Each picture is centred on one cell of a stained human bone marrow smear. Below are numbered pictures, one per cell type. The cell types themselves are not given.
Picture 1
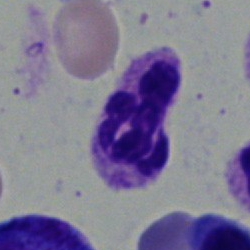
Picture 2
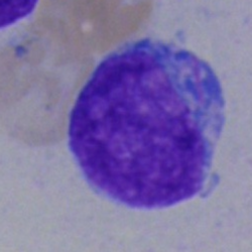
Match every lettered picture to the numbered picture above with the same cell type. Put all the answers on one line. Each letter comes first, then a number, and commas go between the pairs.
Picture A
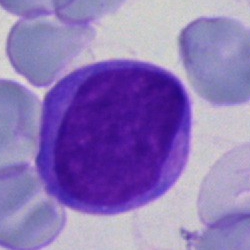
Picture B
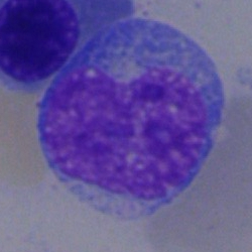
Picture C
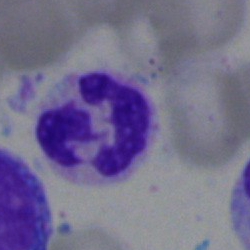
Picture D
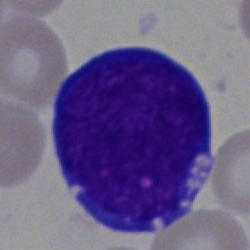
A 2, B 2, C 1, D 2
